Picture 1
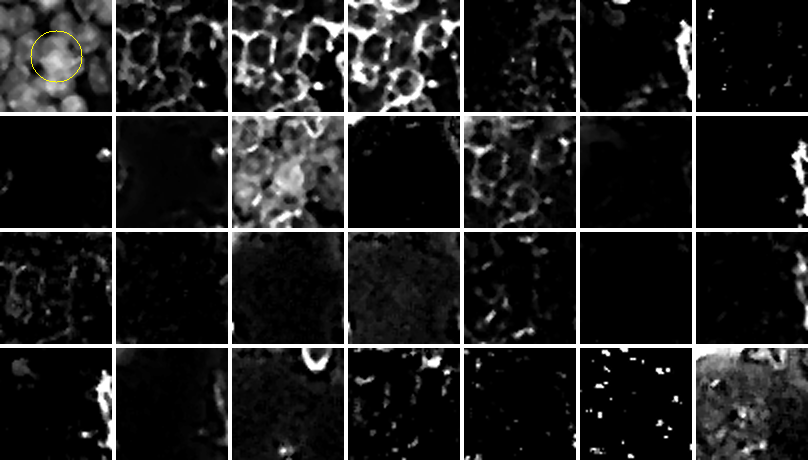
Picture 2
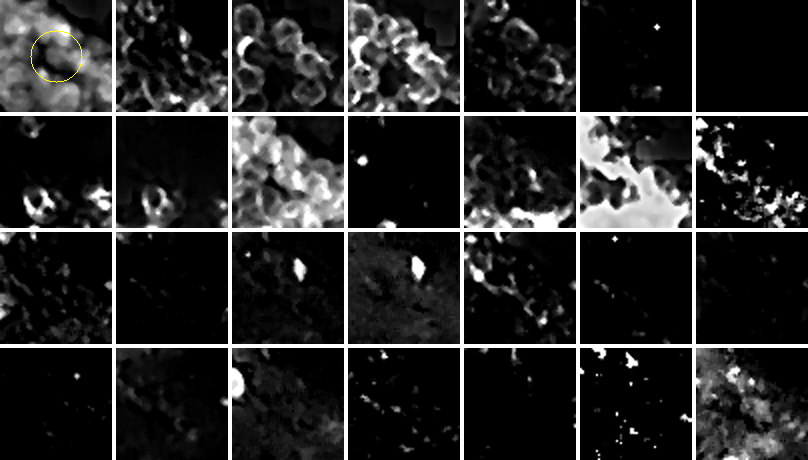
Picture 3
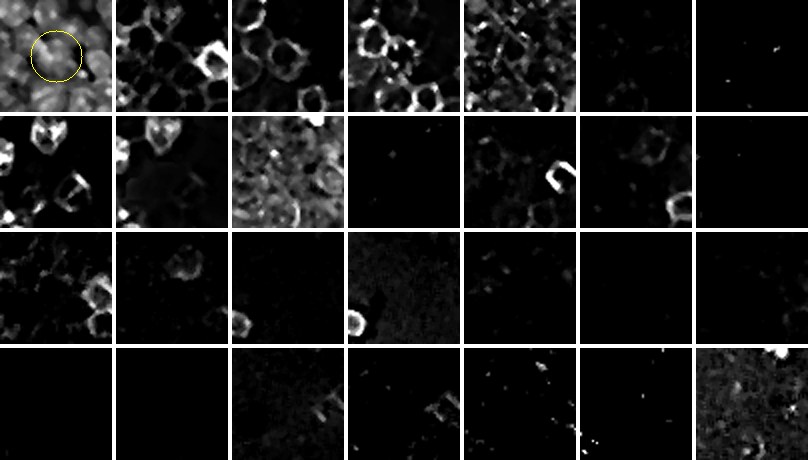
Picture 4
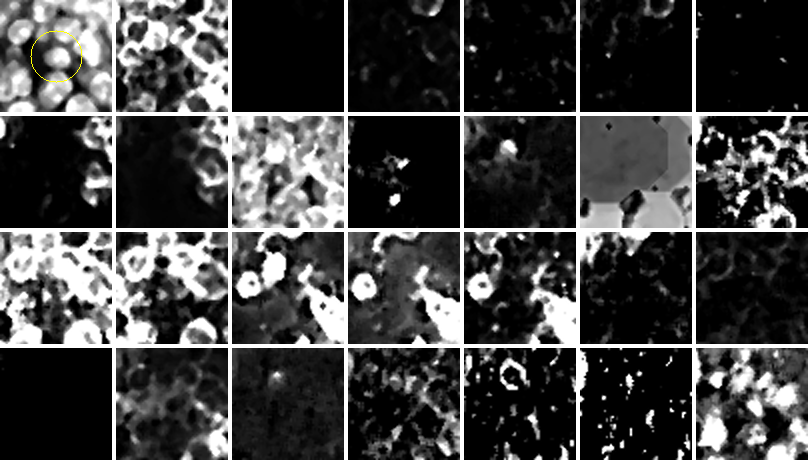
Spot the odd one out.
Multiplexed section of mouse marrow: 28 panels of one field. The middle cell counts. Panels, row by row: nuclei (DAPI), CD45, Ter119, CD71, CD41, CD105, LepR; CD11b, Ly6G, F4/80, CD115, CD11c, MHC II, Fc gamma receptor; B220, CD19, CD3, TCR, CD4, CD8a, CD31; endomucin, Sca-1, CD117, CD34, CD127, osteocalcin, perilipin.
Picture 4 (a B cell among erythroblasts).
